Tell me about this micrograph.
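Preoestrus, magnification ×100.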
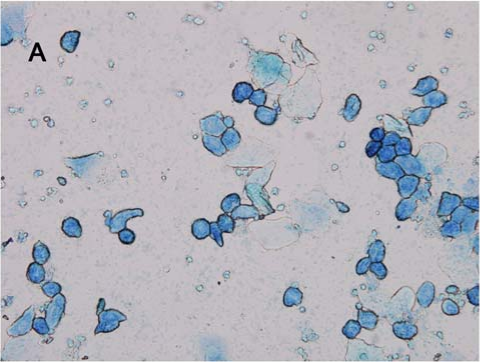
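This vaginal smear is dominated by epithelial cells: small, rounded to slightly polygonal cells that stain a deep, even blue and have sharp dark outlines. They lie singly, in pairs, and in small clusters and short chains, some cells pressed against one another so their borders flatten. Between them are a few larger, paler, flat cells with thin, irregular edges, stained a light blue to greenish blue. The background holds scattered tiny round bodies and fine granular debris. Overall the picture is one of many compact, intensely stained rounded cells with only a minority of broad flat pale cells.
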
